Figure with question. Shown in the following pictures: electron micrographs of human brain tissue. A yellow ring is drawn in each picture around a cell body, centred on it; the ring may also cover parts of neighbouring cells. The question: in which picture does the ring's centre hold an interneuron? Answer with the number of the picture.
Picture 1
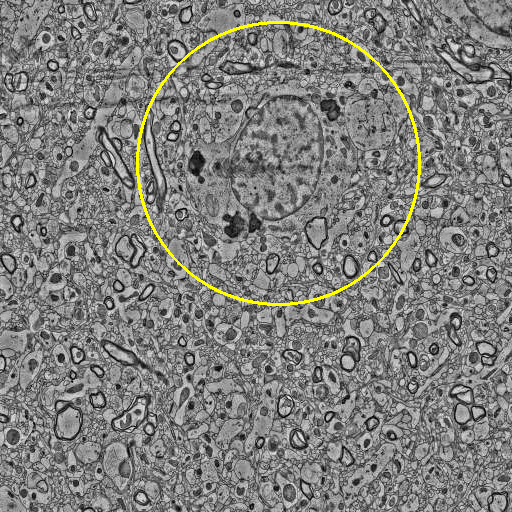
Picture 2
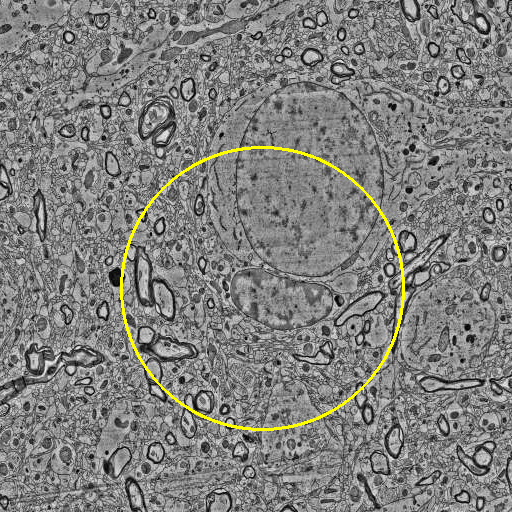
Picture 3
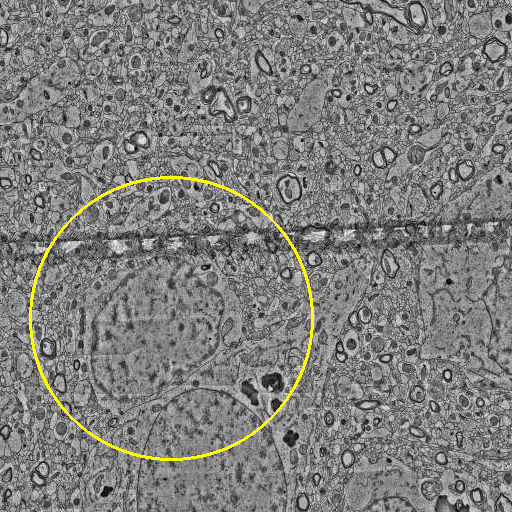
3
